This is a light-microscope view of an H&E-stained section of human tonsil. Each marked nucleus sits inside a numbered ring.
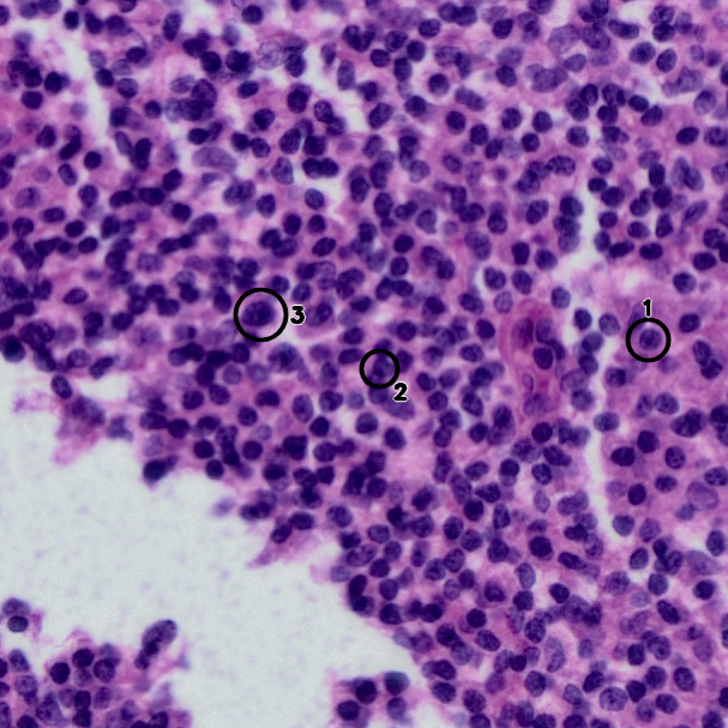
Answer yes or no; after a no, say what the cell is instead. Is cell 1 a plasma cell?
Yes.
